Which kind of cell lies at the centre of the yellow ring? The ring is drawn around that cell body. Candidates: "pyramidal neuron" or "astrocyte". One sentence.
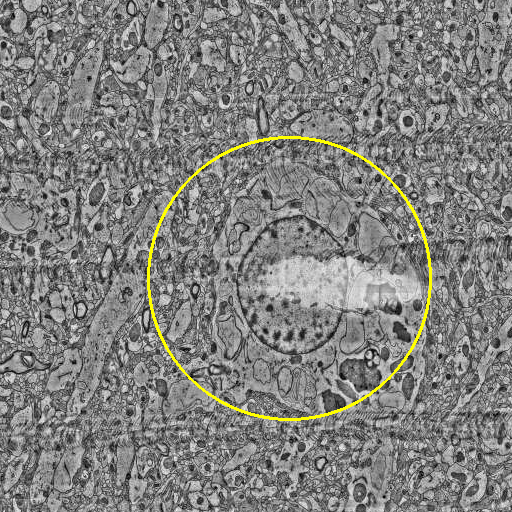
Lying at the centre of the ring is an astrocyte.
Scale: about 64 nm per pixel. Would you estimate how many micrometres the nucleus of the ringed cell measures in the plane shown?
In this plane the nucleus spans approximately 9 by 7 micrometers.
